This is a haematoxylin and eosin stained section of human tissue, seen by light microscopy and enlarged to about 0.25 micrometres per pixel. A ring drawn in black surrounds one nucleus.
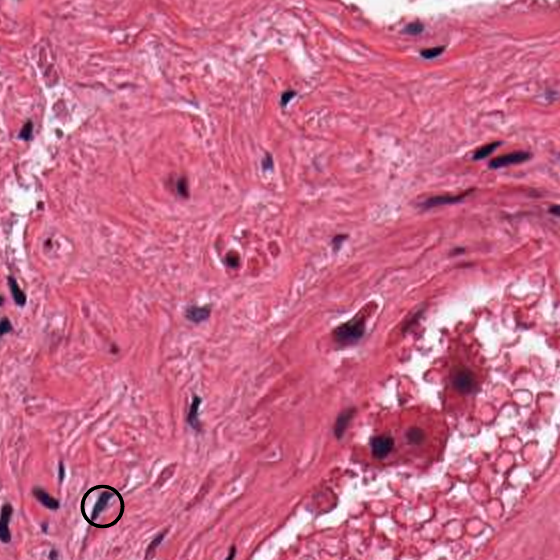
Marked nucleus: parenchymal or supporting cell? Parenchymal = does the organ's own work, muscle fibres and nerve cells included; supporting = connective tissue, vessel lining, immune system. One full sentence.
Among the cells in view, a supporting cell holds the marked nucleus.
